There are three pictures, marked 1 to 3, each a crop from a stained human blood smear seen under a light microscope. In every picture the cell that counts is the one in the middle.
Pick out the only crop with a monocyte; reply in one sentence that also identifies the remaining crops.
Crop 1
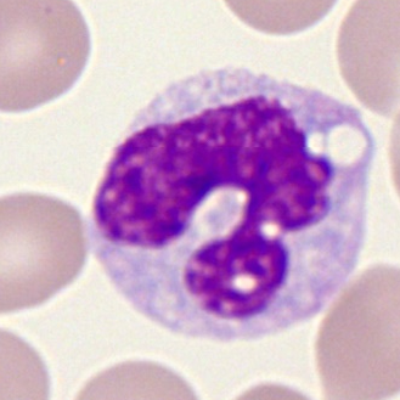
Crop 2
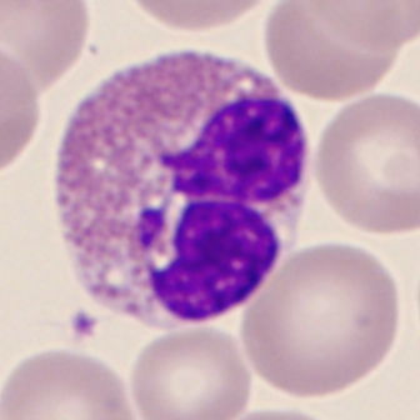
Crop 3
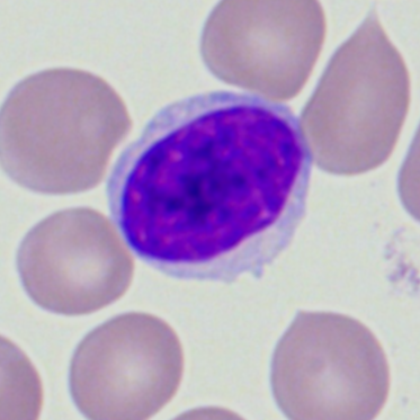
Crop 1 goes down as a monocyte, while crop 2 is an eosinophil and crop 3 is a lymphocyte.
